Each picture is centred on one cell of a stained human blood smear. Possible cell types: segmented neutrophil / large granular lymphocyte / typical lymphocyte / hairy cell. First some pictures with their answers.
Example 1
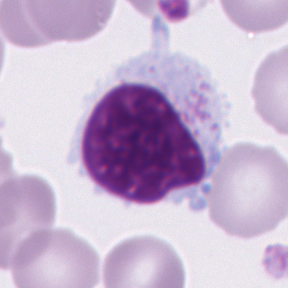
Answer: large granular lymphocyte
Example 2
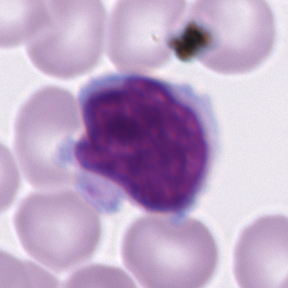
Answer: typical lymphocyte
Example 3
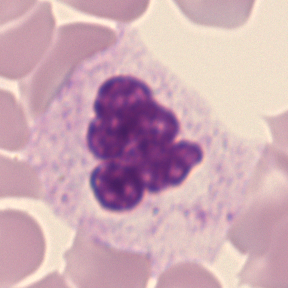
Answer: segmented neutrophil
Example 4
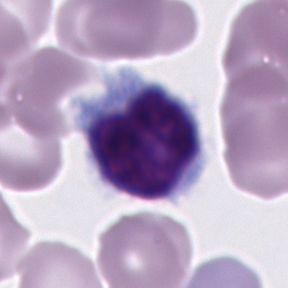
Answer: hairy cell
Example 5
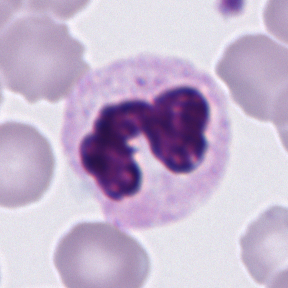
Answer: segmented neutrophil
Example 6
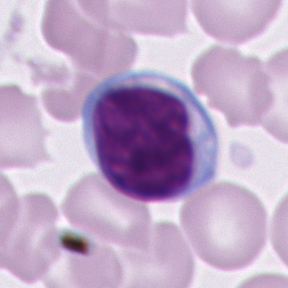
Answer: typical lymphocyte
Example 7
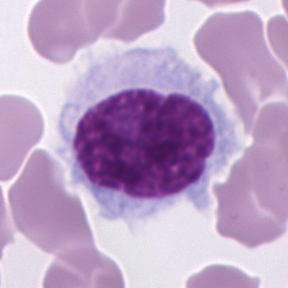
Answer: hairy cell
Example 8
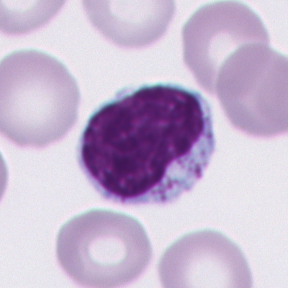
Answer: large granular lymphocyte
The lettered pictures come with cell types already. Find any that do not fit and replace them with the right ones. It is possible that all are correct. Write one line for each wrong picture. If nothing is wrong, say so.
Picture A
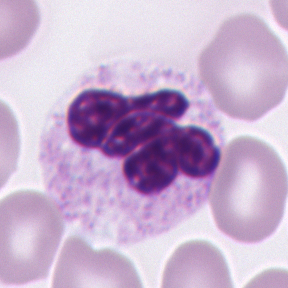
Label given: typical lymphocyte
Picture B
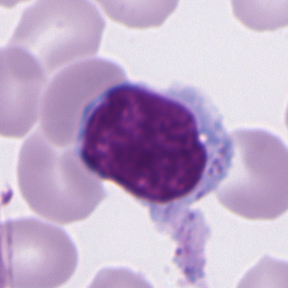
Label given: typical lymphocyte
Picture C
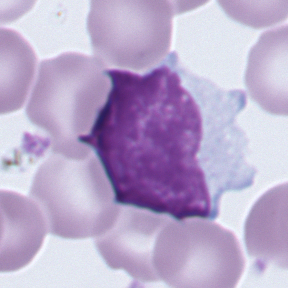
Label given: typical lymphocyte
Wrong: A (typical lymphocyte); correct: segmented neutrophil
Wrong: B (typical lymphocyte); correct: large granular lymphocyte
